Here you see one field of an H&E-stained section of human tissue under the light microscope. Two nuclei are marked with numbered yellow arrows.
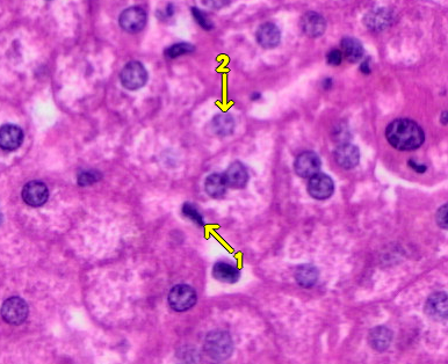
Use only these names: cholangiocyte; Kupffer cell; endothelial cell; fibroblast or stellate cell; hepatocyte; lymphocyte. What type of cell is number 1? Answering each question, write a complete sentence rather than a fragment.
Identified by the number 1, the cell is an endothelial cell.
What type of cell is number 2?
The correct label for cell 2 is a hepatocyte.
